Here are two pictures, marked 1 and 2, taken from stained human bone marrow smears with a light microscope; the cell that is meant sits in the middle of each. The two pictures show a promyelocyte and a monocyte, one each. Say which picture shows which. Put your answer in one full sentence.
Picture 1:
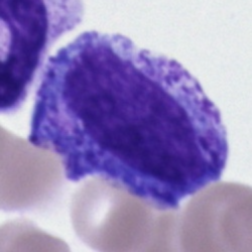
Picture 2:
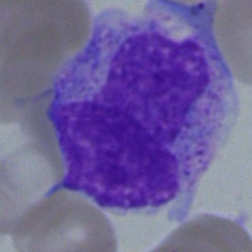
In picture 1 the cell is a promyelocyte; in picture 2, a monocyte.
